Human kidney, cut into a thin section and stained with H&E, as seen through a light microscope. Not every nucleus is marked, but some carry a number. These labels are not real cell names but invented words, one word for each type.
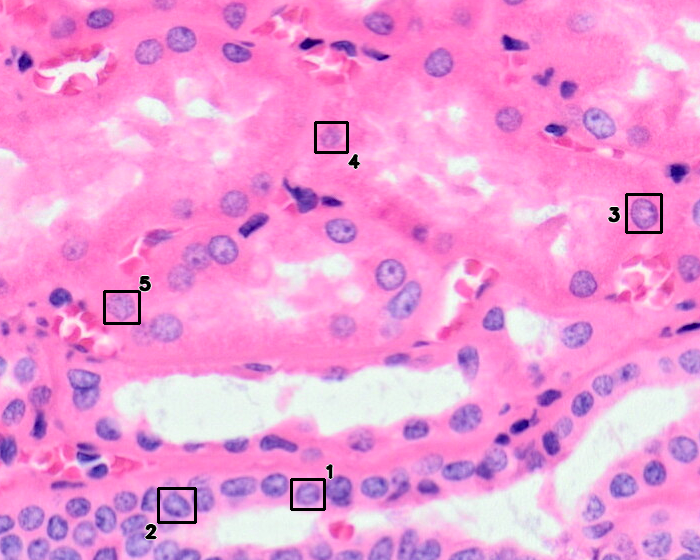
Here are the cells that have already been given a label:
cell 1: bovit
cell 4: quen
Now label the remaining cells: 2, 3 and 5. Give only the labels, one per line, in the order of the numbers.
bovit
quen
quen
